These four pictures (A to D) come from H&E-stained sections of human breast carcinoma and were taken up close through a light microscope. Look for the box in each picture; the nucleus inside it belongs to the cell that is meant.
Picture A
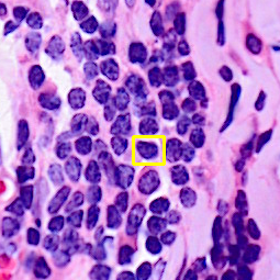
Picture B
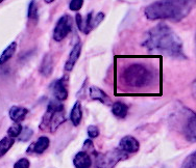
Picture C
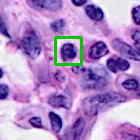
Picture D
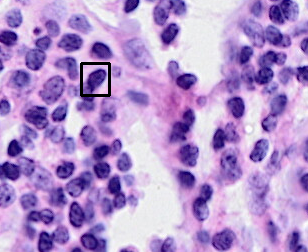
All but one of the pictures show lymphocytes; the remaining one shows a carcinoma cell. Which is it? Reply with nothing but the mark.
B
